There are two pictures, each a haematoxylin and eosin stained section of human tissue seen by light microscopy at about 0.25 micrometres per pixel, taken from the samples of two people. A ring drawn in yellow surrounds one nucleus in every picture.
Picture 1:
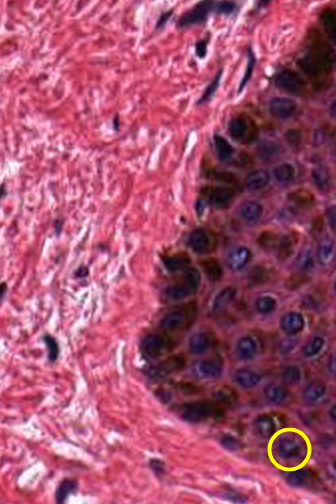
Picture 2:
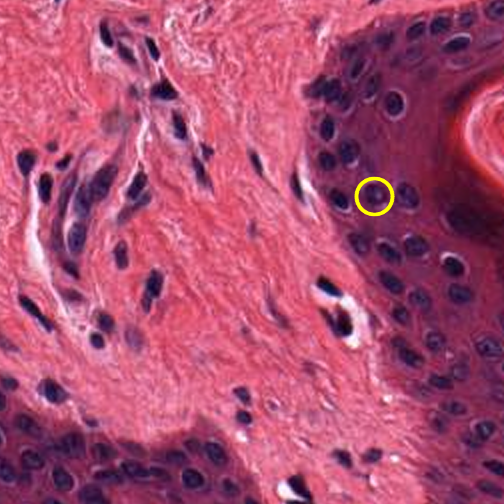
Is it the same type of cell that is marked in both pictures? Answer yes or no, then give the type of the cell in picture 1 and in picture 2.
Yes, both are keratinocytes.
